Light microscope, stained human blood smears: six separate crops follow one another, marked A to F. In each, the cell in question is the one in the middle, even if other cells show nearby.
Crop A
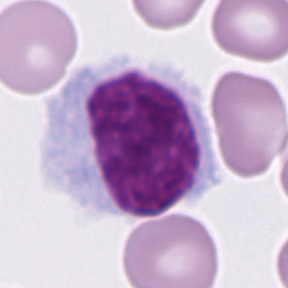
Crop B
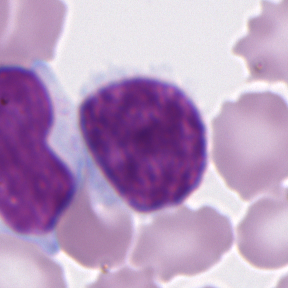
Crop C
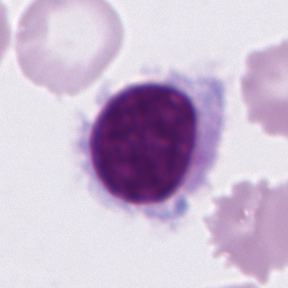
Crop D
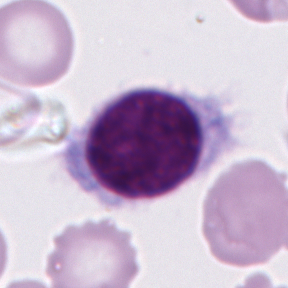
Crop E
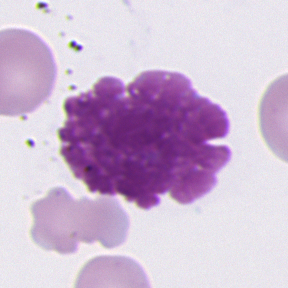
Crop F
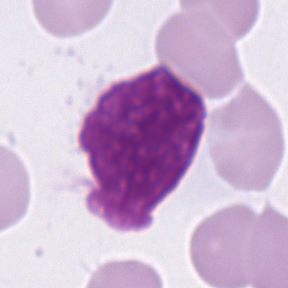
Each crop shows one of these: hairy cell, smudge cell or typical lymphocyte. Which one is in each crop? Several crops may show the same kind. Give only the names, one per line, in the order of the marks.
hairy cell
hairy cell
hairy cell
hairy cell
smudge cell
smudge cell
